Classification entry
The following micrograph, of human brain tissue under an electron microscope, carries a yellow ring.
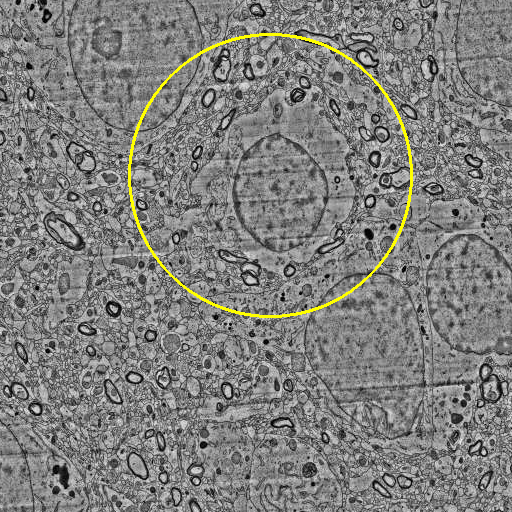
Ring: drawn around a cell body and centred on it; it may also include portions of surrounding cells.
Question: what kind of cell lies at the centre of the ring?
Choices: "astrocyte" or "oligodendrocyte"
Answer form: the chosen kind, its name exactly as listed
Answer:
astrocyte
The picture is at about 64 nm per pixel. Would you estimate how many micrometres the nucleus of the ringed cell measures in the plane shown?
About 7 micrometres by about 6 micrometres in this plane.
